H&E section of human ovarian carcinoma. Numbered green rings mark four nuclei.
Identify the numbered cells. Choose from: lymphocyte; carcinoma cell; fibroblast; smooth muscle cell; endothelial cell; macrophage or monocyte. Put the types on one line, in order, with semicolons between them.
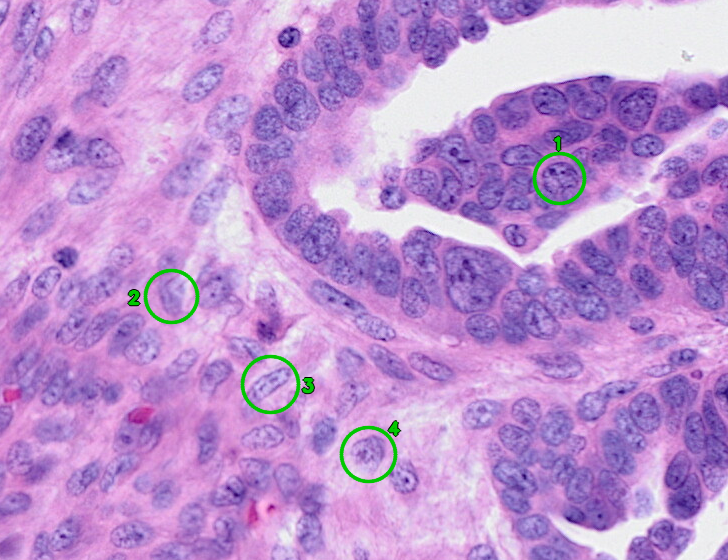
carcinoma cell; fibroblast; fibroblast; fibroblast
